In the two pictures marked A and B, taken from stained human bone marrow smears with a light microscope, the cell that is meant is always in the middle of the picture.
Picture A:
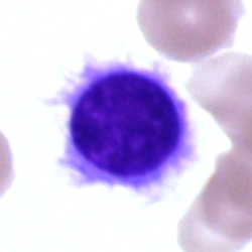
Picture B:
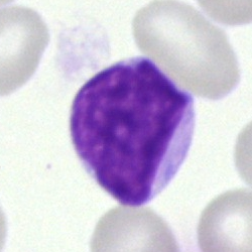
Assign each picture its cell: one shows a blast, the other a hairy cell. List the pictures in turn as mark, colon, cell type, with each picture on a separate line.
A: hairy cell
B: blast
